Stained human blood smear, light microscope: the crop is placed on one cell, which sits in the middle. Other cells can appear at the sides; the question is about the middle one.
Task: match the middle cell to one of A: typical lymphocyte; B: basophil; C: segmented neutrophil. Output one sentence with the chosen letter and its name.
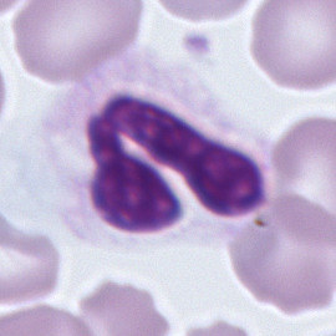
Option C correctly names the cell in the middle as a segmented neutrophil.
